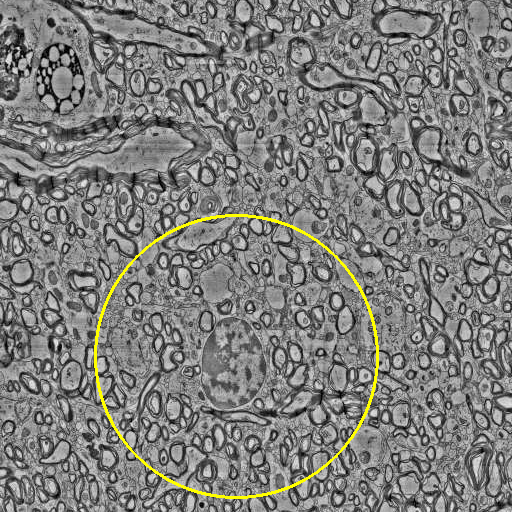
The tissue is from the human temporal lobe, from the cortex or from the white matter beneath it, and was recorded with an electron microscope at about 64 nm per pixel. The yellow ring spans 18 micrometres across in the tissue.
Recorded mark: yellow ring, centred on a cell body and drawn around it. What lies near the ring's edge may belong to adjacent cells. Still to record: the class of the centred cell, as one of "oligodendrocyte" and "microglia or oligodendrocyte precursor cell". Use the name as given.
microglia or oligodendrocyte precursor cell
